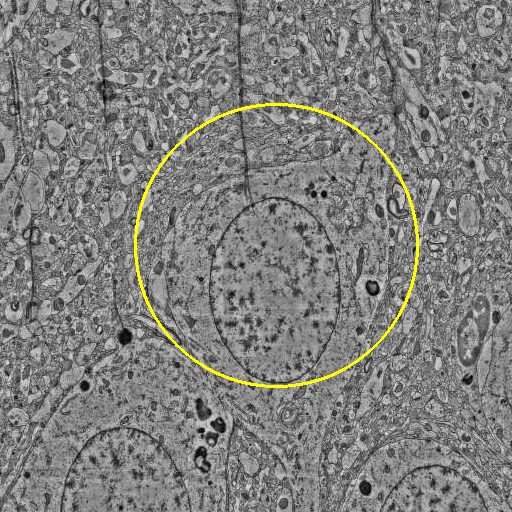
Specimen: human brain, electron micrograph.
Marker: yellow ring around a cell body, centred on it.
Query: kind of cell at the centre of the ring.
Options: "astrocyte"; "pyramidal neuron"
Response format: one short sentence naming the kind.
This cell body belongs to a pyramidal neuron.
